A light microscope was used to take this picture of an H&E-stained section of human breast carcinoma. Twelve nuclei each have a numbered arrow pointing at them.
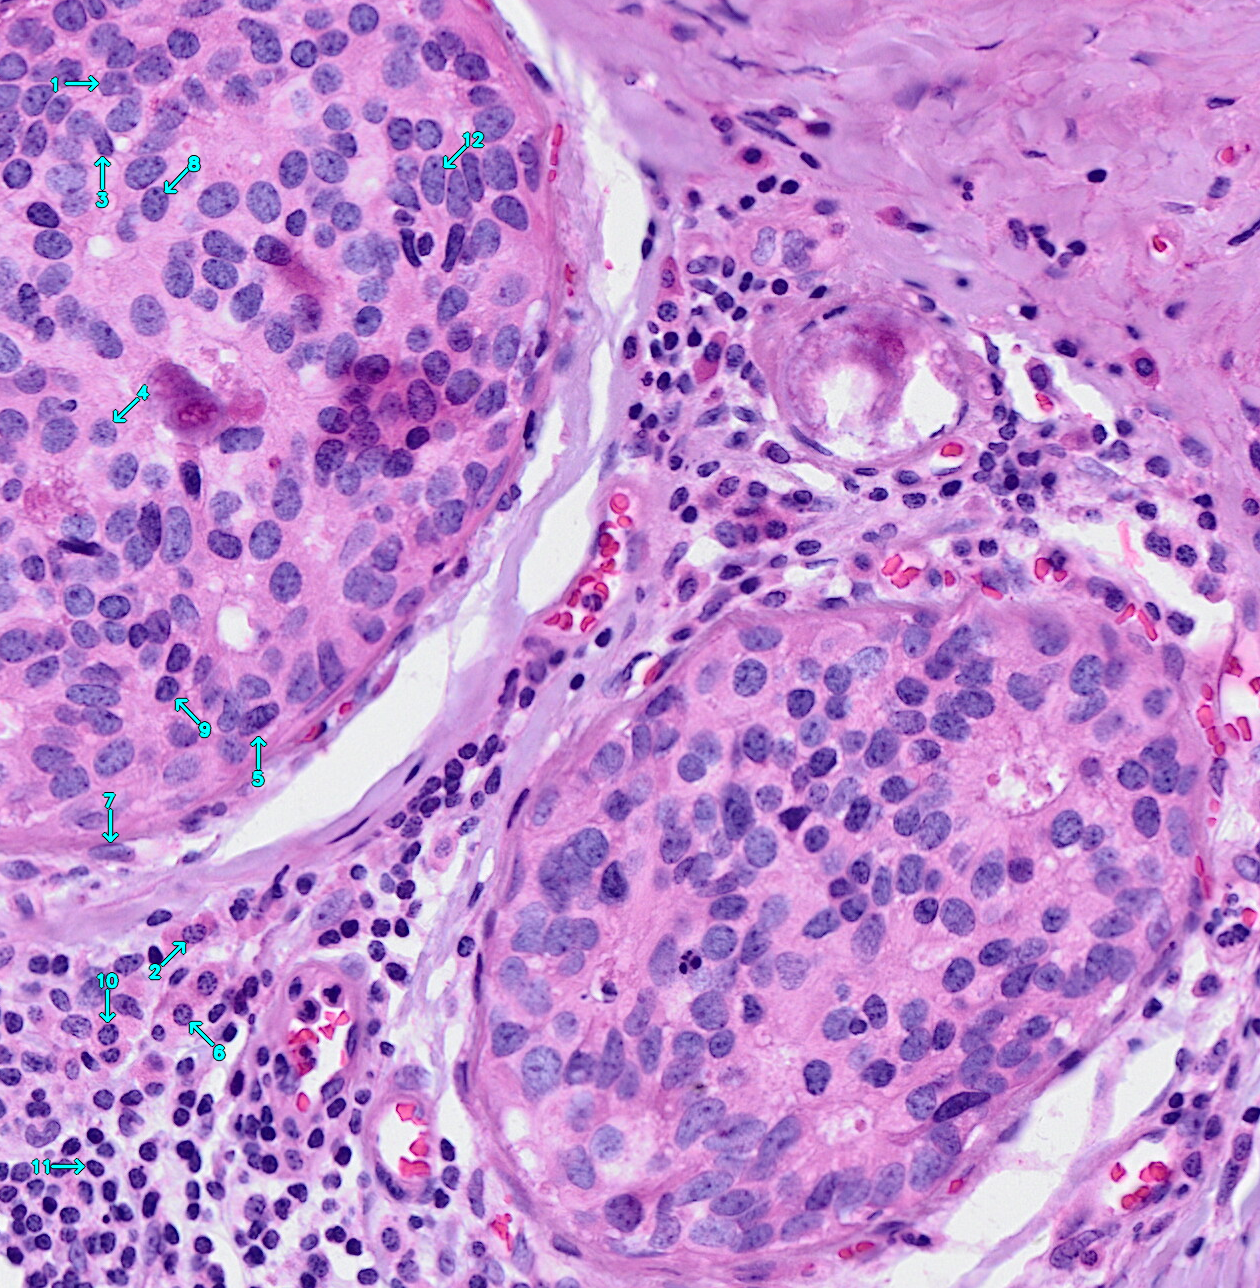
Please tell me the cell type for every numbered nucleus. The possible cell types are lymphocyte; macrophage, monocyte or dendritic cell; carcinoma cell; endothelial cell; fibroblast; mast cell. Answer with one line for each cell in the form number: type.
1: carcinoma cell
2: mast cell
3: carcinoma cell
4: carcinoma cell
5: carcinoma cell
6: mast cell
7: endothelial cell
8: carcinoma cell
9: carcinoma cell
10: mast cell
11: lymphocyte
12: carcinoma cell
